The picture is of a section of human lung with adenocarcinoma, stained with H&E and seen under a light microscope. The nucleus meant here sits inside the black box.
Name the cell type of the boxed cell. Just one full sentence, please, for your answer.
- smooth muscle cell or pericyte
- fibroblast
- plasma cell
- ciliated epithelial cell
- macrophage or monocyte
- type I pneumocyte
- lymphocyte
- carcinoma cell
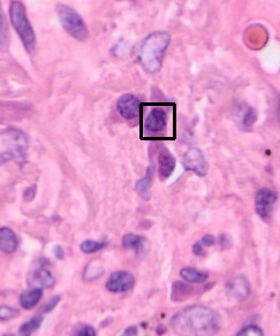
Cytologically, the boxed cell is to be regarded as a plasma cell.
